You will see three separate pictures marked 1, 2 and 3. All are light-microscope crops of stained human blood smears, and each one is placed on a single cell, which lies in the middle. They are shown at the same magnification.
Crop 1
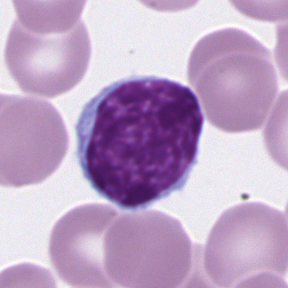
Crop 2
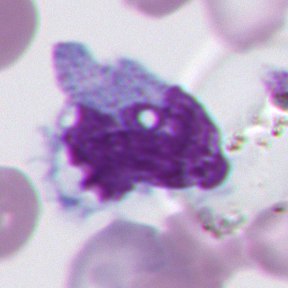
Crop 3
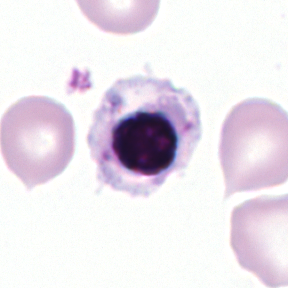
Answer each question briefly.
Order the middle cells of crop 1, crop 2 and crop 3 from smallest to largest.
3, 1, 2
